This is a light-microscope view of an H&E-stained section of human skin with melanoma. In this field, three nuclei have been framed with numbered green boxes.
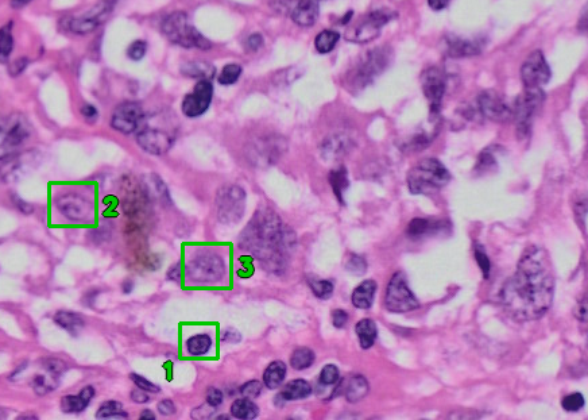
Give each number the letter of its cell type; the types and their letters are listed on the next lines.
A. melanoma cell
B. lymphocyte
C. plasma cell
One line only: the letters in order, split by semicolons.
B; A; A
